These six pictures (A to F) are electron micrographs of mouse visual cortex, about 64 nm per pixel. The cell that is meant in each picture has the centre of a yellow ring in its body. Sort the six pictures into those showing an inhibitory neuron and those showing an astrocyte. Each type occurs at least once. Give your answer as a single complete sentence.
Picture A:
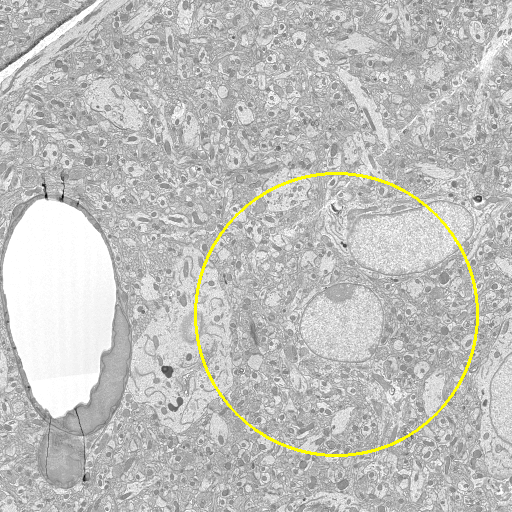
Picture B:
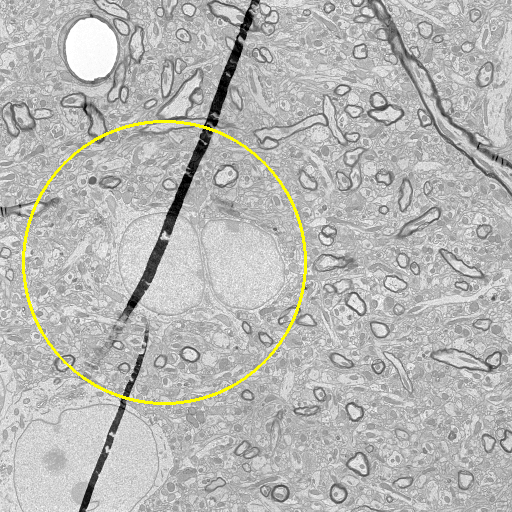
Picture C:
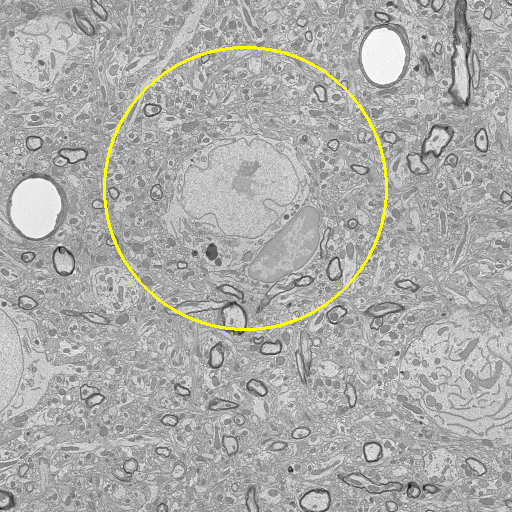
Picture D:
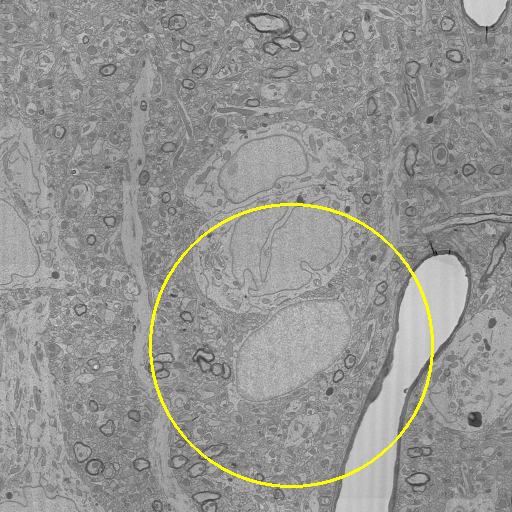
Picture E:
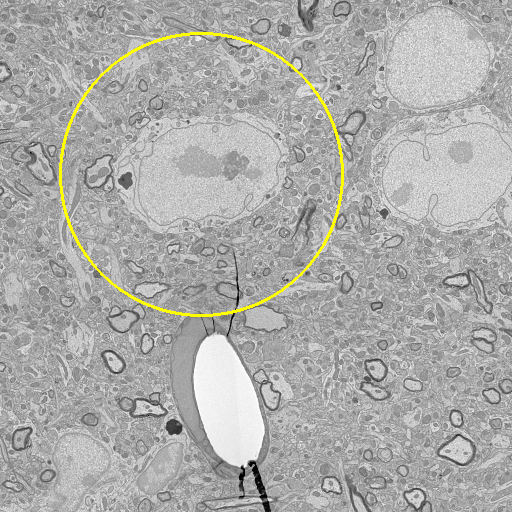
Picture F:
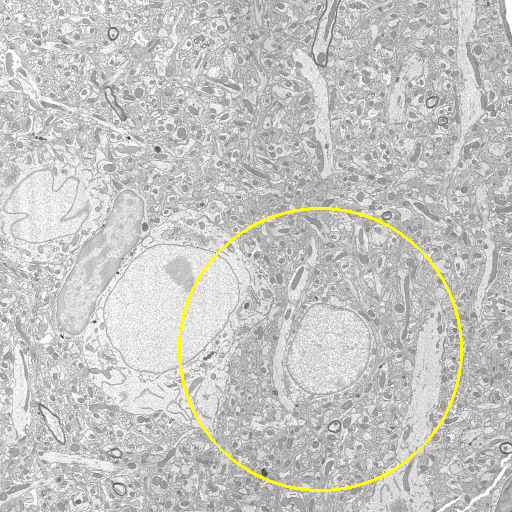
Pictures C and E show inhibitory neurons, while pictures A, B, D and F show astrocytes.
